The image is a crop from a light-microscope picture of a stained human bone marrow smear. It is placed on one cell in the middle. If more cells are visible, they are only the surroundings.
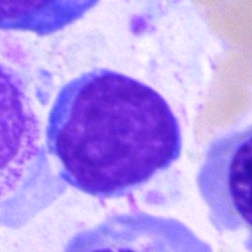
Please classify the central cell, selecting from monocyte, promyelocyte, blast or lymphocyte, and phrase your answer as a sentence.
This crop has a lymphocyte at its centre.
